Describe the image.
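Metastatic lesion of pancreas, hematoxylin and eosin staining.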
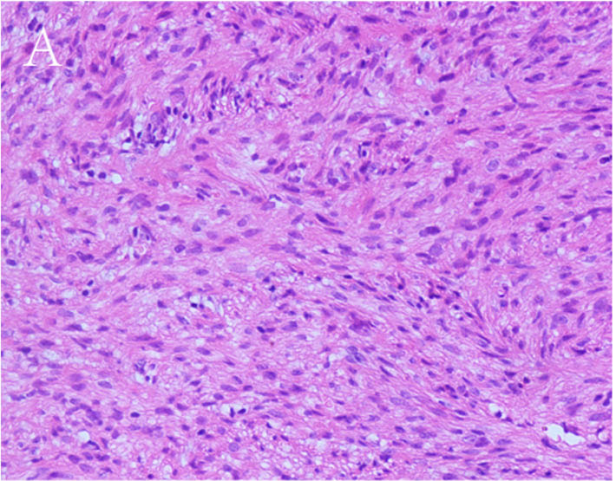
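Tumor composed of spindle cells arranged in interlacing fascicles and sweeping bundles. Nuclei are elongated and darkly purple with blunt ends, showing mild variation in size and shape, set in pink fibrillary cytoplasm. Some areas show pale, loosely arranged stroma with small clear spaces between the cells.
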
